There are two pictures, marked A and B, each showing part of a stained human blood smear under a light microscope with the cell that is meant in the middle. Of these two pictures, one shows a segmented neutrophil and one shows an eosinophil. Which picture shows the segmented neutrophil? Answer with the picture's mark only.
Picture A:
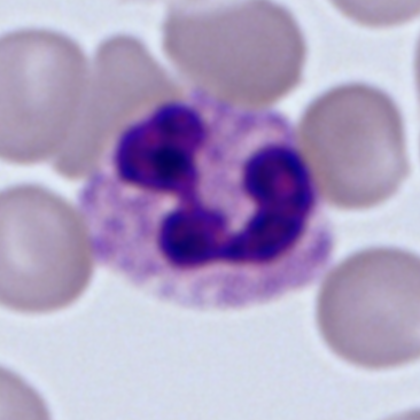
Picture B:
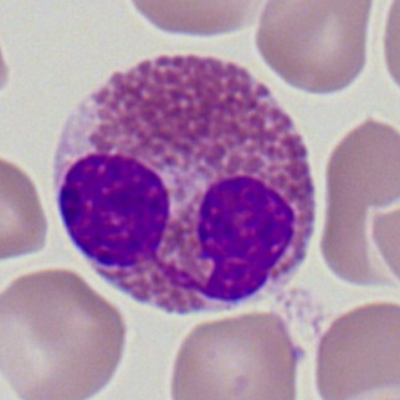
A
